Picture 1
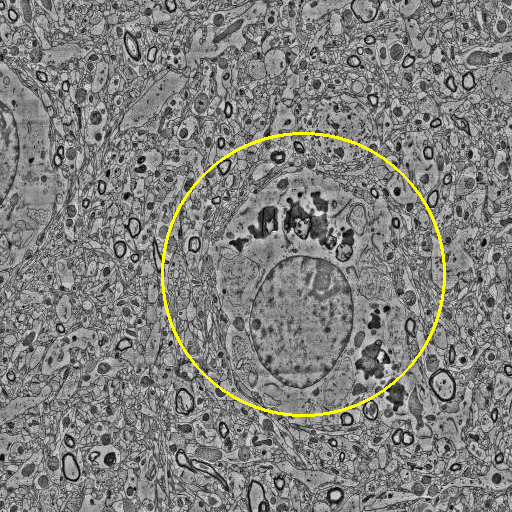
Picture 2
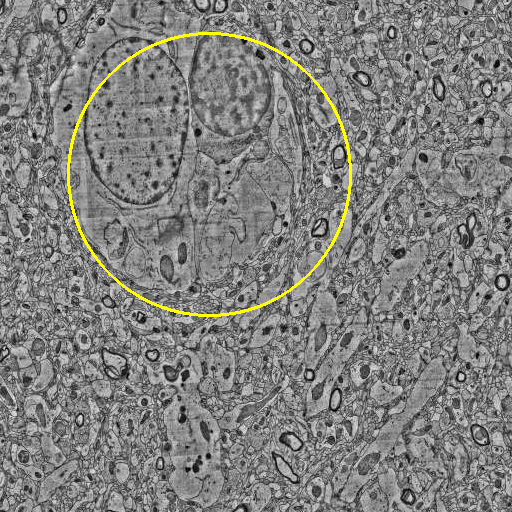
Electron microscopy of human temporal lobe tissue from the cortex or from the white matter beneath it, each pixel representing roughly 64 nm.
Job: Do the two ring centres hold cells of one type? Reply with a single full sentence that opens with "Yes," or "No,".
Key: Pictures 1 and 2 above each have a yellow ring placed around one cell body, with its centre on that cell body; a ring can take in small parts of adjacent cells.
Yes, the cells at the two ring centres are of one single type.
